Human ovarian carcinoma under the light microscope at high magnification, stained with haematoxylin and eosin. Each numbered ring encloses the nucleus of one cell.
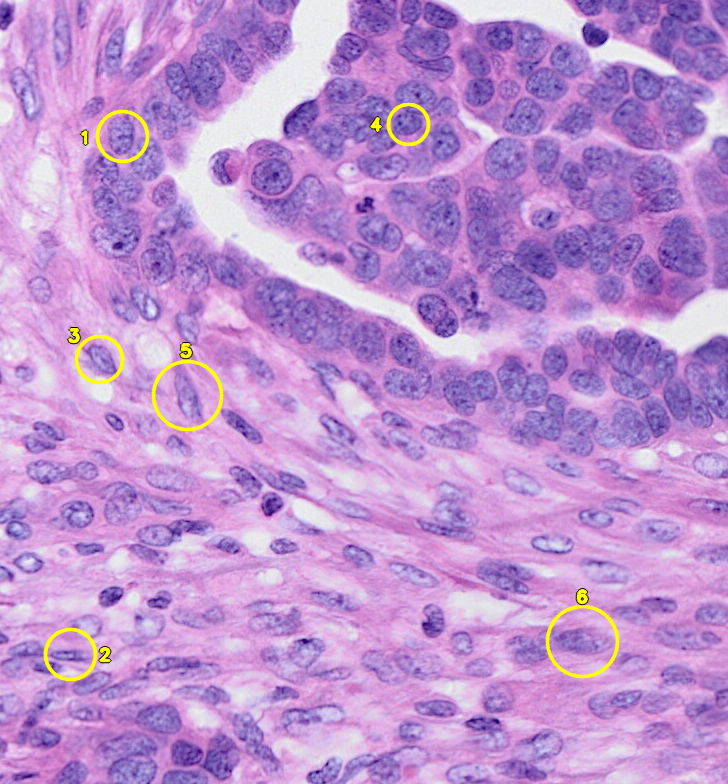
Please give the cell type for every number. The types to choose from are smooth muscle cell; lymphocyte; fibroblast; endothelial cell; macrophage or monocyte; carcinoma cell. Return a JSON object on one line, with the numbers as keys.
{"1": "carcinoma cell", "2": "fibroblast", "3": "fibroblast", "4": "carcinoma cell", "5": "fibroblast", "6": "fibroblast"}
